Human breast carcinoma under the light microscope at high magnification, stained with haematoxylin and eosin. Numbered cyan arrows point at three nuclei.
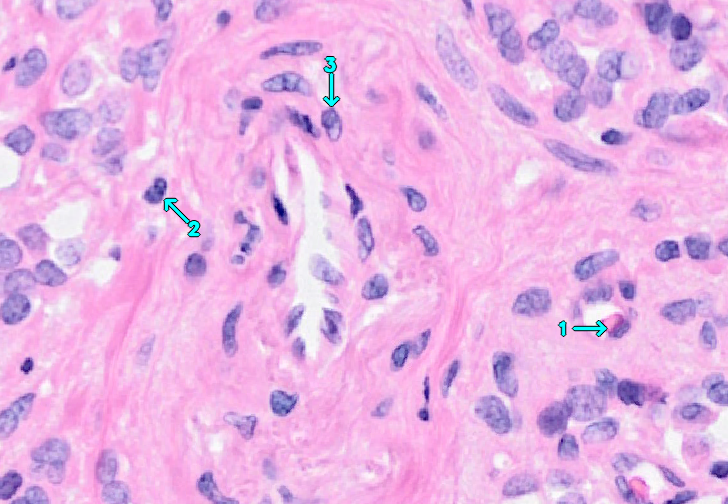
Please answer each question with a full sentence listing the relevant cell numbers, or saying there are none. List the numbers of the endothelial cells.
Within this tissue, the cells numbered 1 and 3 are endothelial cells.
